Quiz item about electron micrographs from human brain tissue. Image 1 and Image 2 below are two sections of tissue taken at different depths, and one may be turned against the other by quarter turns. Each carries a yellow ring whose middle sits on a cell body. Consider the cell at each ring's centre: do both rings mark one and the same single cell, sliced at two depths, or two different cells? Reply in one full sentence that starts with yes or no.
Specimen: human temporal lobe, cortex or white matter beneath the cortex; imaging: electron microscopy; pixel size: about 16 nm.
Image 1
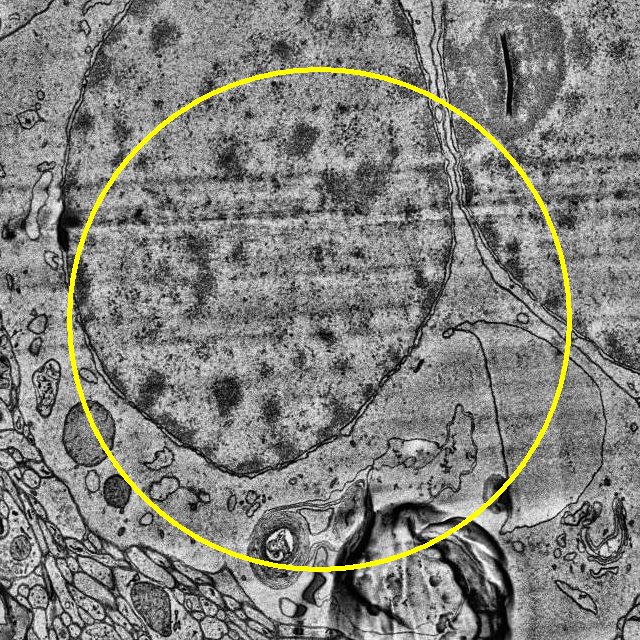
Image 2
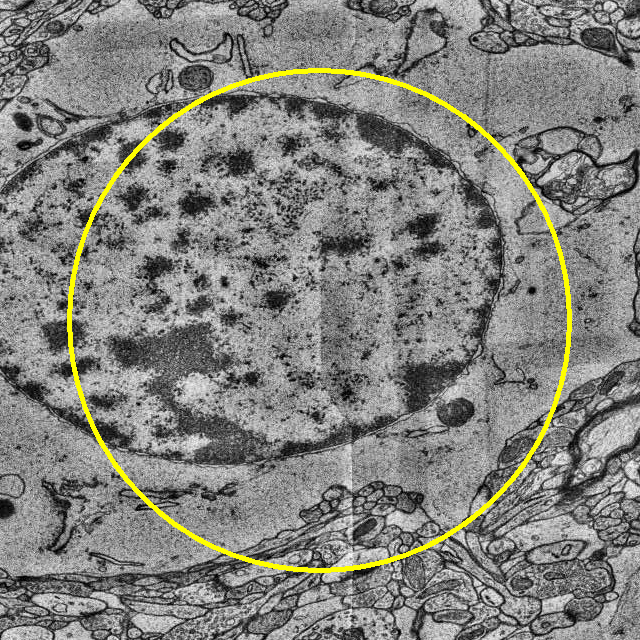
No, the circled cells number two, not one.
